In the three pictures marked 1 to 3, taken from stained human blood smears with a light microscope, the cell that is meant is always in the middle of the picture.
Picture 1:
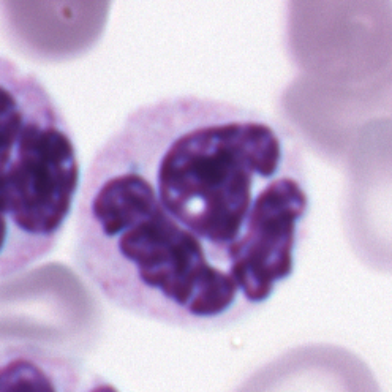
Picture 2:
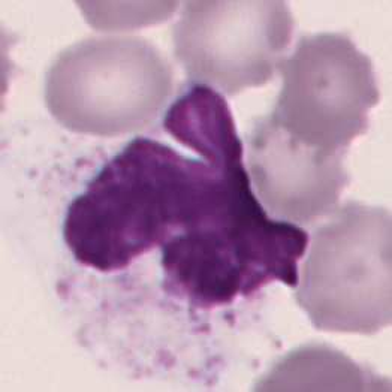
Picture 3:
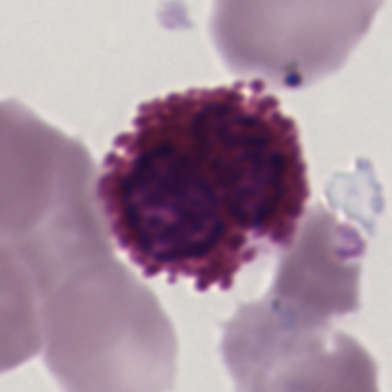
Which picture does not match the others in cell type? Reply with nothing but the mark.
3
